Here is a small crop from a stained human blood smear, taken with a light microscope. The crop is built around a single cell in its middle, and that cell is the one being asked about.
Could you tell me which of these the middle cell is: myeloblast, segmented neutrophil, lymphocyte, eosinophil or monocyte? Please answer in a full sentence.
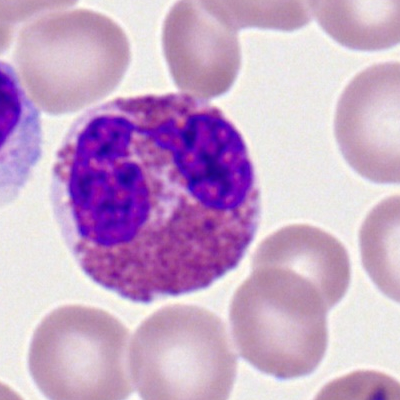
The cell occupying the middle of the crop is an eosinophil.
